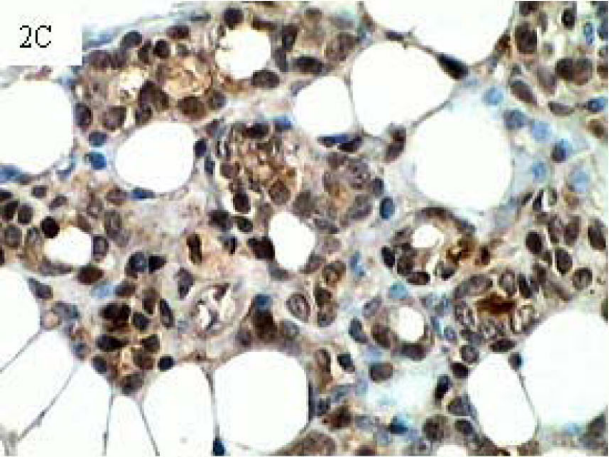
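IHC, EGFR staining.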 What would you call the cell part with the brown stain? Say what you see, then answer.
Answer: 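Both the cytoplasm and nucleus. Many nuclei are stained dark brown. Brown stain also fills the cytoplasm around some of these nuclei.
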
